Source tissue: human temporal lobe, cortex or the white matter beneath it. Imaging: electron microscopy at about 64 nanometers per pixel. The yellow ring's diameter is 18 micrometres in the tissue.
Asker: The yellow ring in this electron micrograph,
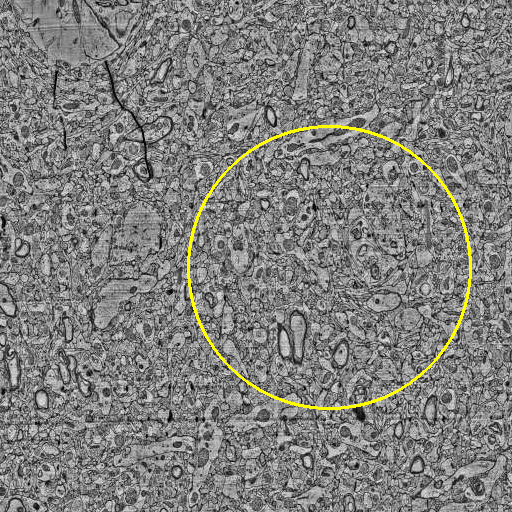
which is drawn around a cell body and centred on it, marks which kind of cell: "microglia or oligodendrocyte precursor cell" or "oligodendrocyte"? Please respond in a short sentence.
The marked cell is an oligodendrocyte.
